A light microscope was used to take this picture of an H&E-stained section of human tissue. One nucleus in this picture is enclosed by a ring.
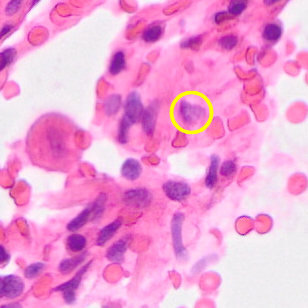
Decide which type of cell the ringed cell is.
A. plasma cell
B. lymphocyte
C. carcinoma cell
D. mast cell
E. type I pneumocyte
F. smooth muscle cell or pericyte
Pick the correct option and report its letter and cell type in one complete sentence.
Option E is accurate, for the ringed cell is a type I pneumocyte.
